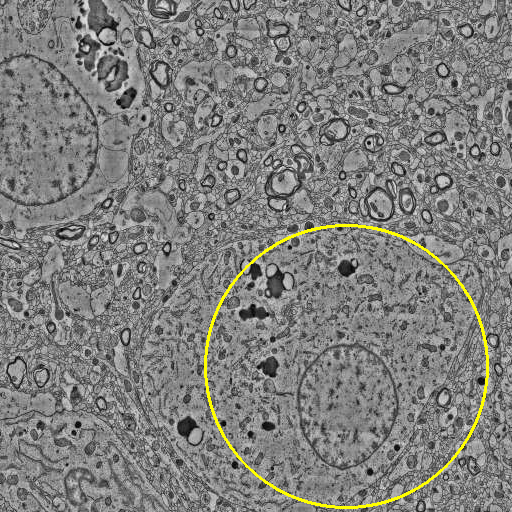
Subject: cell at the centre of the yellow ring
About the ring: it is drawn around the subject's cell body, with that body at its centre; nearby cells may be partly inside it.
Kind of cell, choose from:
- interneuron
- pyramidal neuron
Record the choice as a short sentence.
The subject cell is a pyramidal neuron.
